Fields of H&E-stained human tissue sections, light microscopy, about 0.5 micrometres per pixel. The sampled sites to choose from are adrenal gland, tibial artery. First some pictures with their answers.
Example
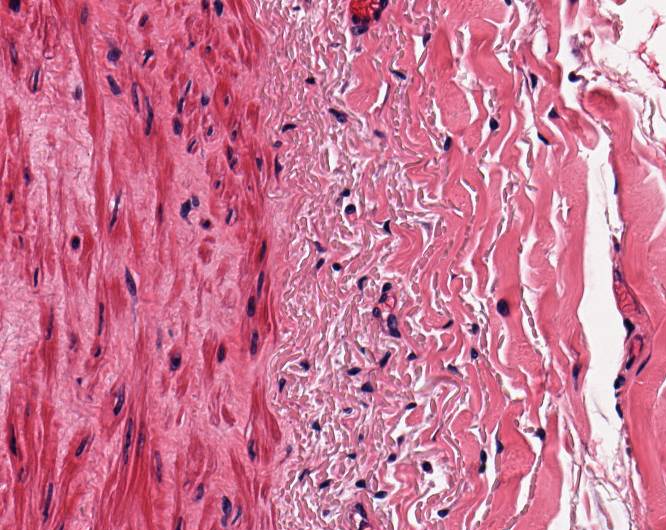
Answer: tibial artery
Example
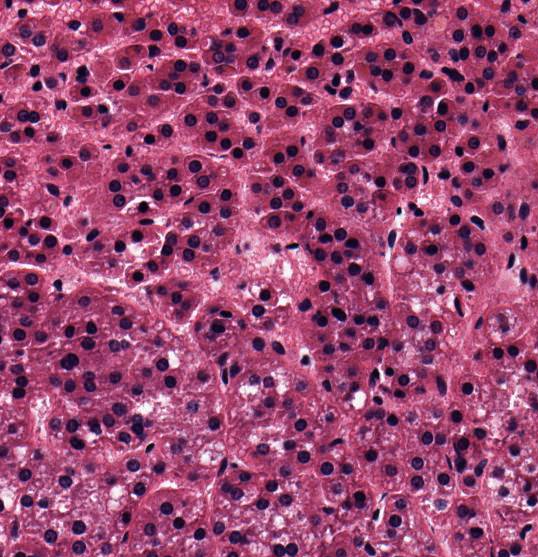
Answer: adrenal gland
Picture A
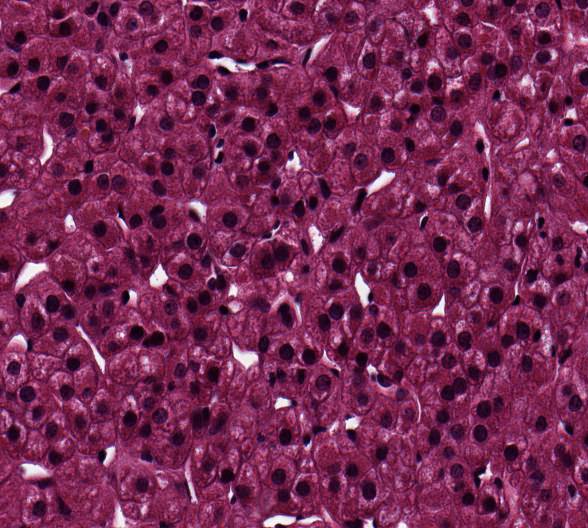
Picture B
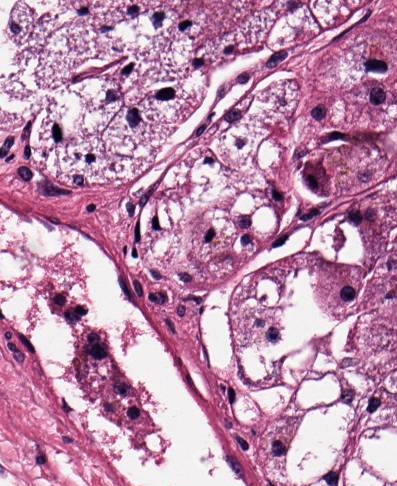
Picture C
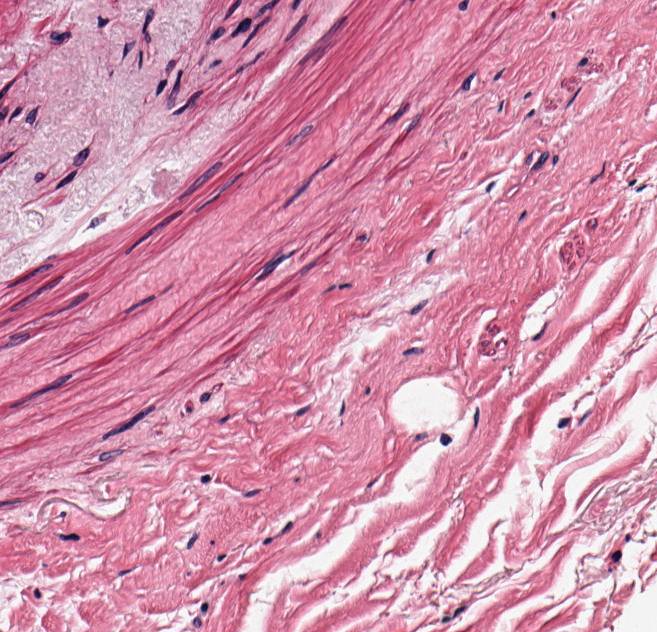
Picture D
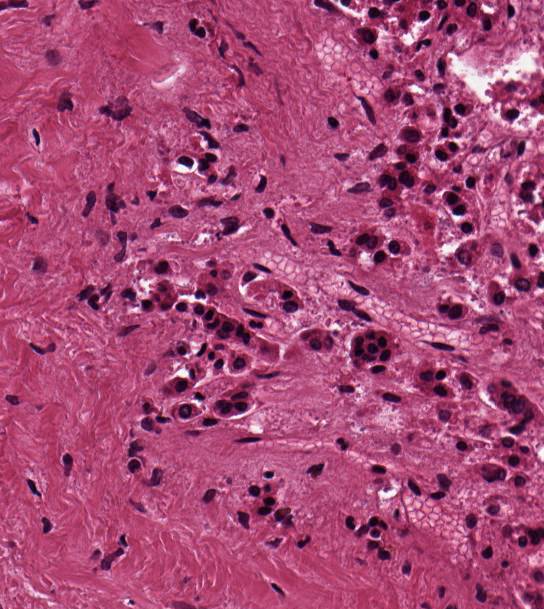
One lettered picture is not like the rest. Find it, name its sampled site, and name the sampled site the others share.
Odd one out: C (tibial artery). The rest: adrenal gland.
